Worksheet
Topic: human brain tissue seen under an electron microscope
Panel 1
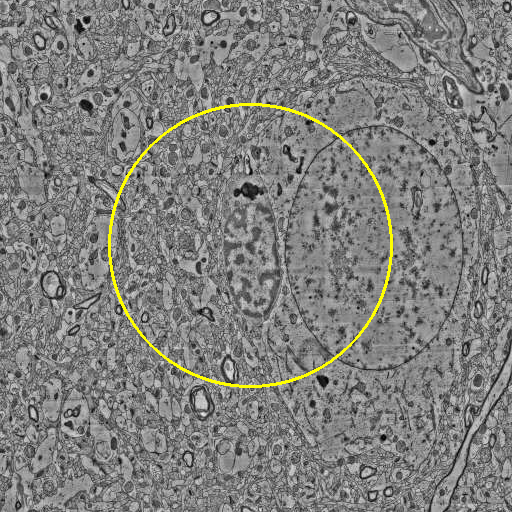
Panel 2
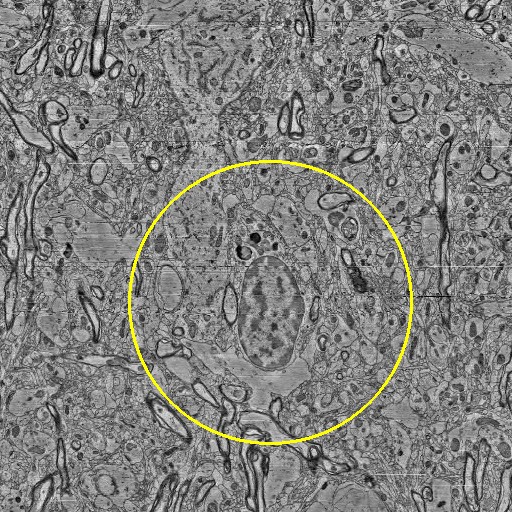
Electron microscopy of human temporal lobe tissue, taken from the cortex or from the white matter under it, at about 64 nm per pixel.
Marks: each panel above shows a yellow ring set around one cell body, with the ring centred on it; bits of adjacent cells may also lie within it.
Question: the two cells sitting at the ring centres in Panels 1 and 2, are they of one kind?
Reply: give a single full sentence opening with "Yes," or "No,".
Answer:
No, the two ring-centre cells in Panel 1 and Panel 2 are of two kinds.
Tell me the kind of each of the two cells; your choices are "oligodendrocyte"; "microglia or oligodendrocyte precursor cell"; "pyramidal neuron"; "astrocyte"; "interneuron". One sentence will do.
The ringed cell is an oligodendrocyte in the first picture and a microglial cell or oligodendrocyte precursor cell in the second picture.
